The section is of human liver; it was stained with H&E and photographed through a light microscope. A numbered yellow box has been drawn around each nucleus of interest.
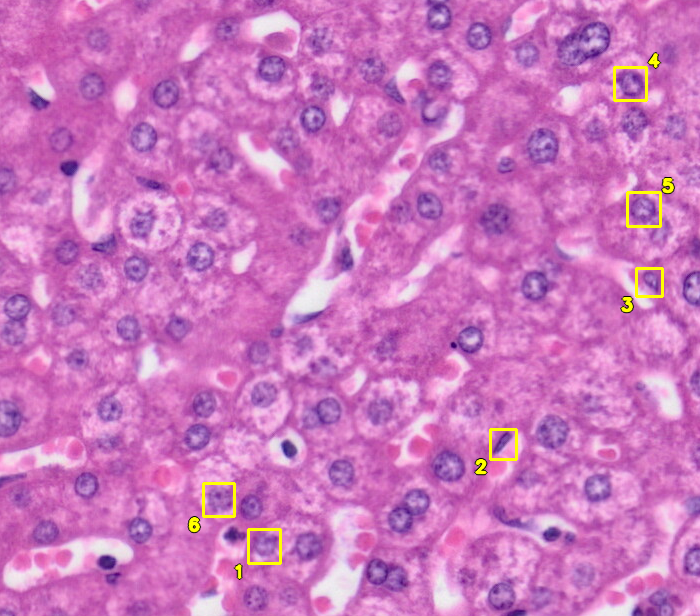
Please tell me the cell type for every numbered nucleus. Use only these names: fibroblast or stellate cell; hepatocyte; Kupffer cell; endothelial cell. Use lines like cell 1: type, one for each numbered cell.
cell 1: hepatocyte
cell 2: endothelial cell
cell 3: Kupffer cell
cell 4: hepatocyte
cell 5: hepatocyte
cell 6: hepatocyte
